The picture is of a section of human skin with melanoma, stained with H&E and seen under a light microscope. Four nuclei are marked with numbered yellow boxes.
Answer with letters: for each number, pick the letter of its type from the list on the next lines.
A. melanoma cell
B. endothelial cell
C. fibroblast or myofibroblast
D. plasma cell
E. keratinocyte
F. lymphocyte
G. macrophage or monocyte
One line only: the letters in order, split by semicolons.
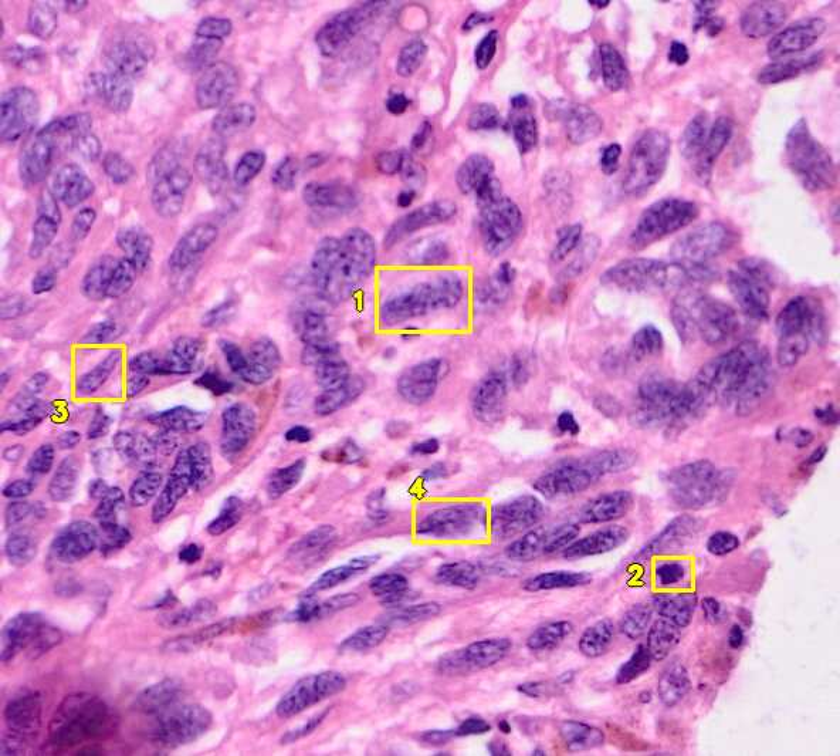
A; F; A; A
